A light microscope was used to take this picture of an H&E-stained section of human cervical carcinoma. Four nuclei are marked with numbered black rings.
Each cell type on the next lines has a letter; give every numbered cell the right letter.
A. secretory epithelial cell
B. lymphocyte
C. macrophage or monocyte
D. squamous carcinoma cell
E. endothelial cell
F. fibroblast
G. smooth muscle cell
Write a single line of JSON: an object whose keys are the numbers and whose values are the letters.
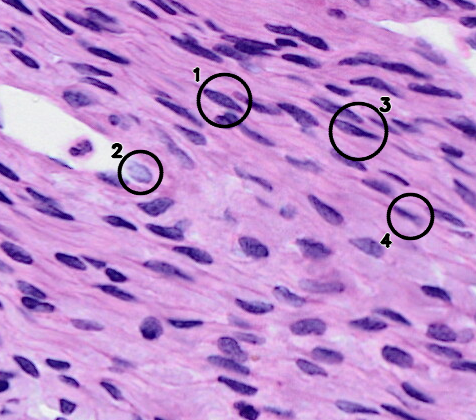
{"1": "F", "2": "E", "3": "F", "4": "F"}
